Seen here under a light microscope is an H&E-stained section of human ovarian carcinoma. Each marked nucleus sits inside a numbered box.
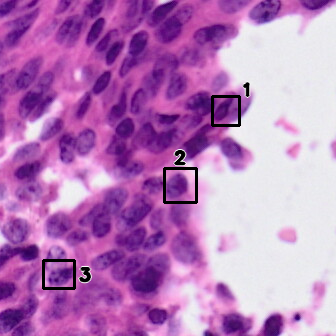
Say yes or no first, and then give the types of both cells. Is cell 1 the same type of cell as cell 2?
Yes, both are carcinoma cells.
